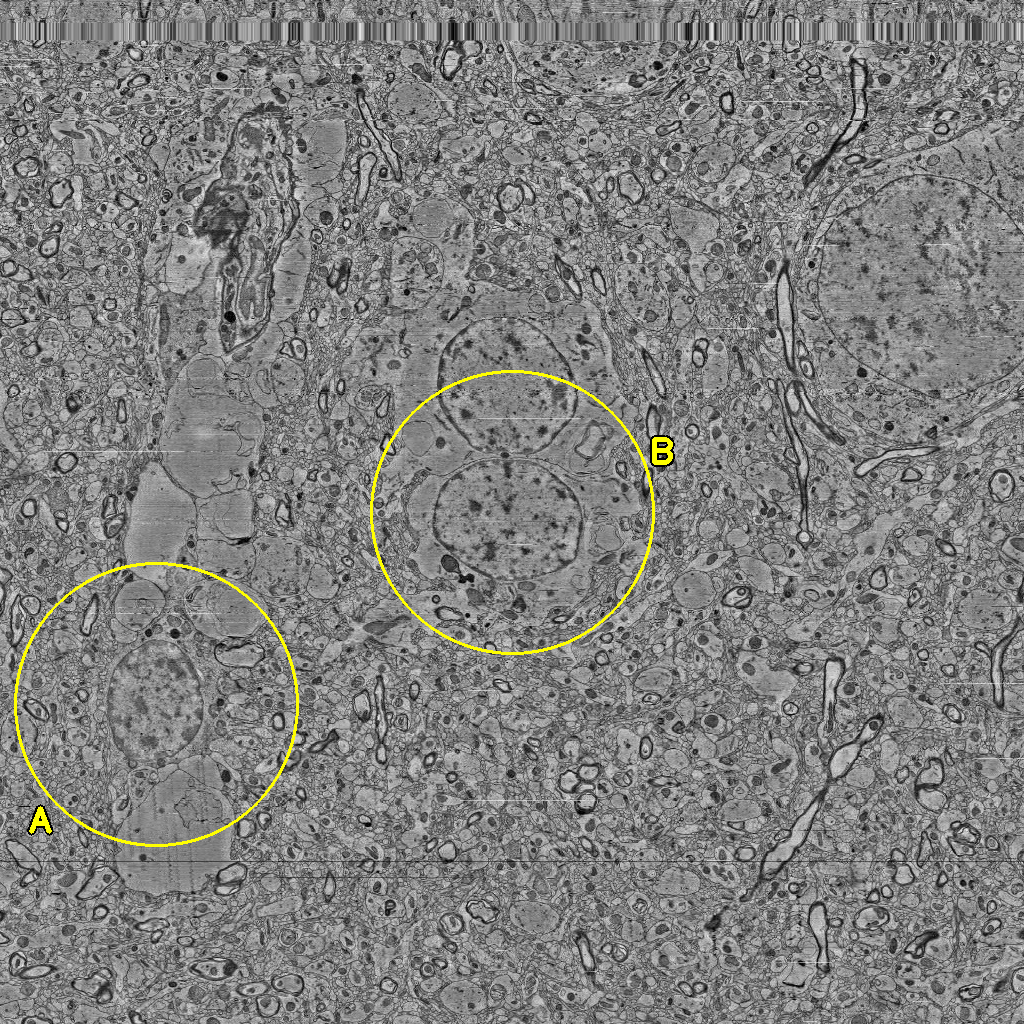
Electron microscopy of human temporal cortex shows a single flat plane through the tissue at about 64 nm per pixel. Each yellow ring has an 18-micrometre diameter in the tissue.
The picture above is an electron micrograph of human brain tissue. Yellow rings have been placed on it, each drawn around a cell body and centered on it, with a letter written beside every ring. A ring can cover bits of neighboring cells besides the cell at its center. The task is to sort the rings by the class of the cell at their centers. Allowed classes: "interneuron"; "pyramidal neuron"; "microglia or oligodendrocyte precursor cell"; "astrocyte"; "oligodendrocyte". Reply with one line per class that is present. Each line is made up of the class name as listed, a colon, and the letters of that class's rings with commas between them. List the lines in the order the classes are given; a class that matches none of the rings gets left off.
astrocyte: B
oligodendrocyte: A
